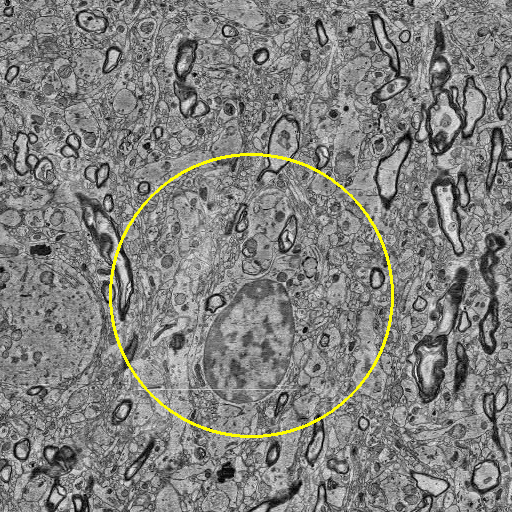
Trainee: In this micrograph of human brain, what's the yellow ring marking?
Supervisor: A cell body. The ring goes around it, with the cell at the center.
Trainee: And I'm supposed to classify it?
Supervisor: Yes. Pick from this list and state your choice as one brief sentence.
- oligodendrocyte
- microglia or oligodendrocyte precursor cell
The cell at the ring's center is a microglial cell or oligodendrocyte precursor cell.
